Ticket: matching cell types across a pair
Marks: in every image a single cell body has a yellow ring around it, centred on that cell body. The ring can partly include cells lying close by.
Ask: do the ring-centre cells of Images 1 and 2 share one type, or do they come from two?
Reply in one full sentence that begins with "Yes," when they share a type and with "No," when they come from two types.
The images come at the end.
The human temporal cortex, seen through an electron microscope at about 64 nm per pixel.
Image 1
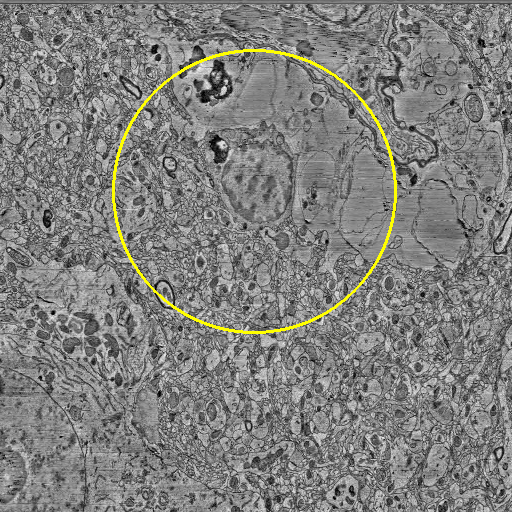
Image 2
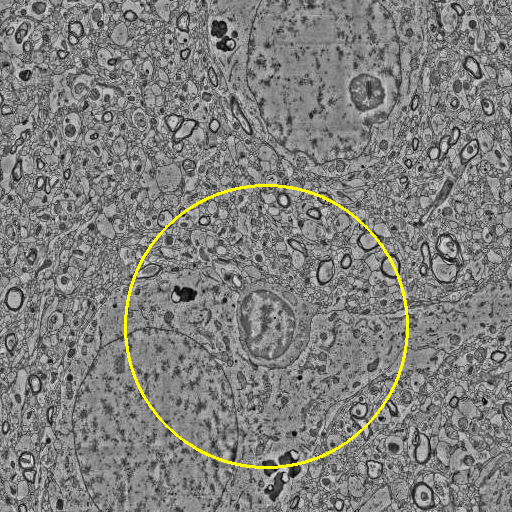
Yes, the cells in the centres of the rings in Image 1 and Image 2 share one type.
